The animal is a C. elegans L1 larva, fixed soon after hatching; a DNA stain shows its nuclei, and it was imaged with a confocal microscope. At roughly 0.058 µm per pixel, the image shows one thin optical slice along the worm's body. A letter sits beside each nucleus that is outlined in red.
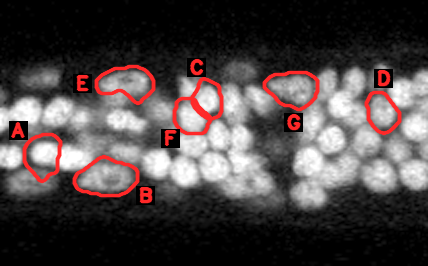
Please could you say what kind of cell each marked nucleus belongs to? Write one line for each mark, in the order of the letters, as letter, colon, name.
A: hypodermal cell (hyp)
B: body wall muscle cell
C: neuron
D: neuron
E: body wall muscle cell
F: neuron
G: body wall muscle cell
